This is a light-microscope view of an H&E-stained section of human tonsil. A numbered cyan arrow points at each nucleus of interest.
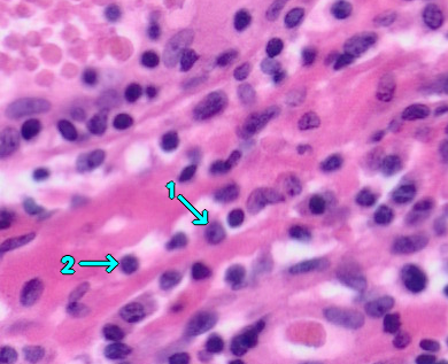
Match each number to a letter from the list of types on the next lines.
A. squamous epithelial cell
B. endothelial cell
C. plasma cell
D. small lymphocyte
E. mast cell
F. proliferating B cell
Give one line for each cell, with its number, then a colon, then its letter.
1: C
2: E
